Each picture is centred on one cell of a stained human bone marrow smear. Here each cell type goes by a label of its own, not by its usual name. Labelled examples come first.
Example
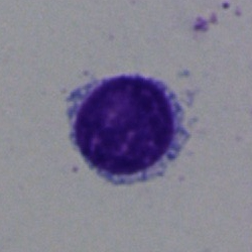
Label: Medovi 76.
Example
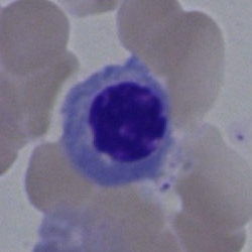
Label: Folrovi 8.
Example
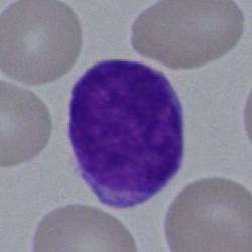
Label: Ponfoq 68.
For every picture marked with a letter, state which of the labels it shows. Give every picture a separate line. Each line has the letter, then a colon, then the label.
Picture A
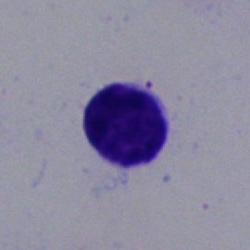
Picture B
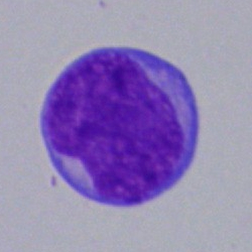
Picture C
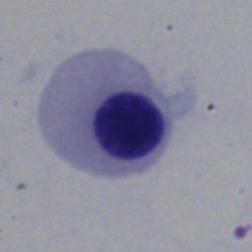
A: Medovi 76.
B: Ponfoq 68.
C: Folrovi 8.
